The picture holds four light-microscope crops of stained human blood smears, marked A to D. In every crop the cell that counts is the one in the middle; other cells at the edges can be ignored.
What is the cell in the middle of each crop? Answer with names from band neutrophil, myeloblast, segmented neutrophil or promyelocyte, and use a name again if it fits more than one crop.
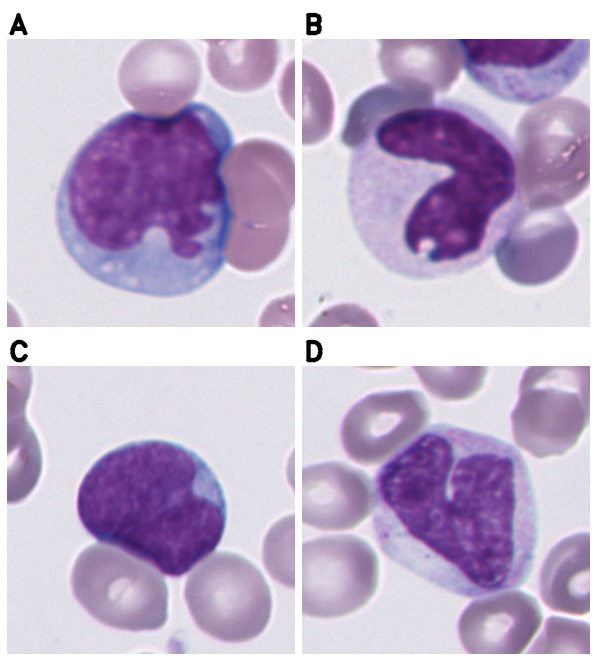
A: myeloblast
B: band neutrophil
C: myeloblast
D: band neutrophil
